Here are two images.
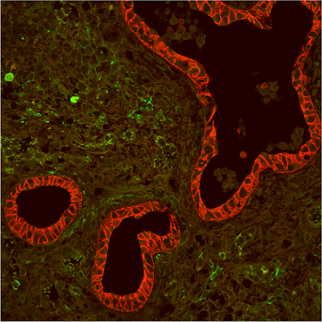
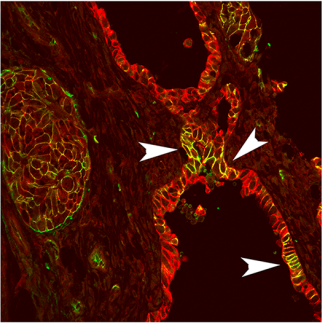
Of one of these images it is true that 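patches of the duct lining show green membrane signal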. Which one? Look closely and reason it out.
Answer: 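The second image. First image: the duct linings are red only, without green or yellow patches. Second image: stretches of the duct lining appear yellow-green where green overlaps the red cell outlines.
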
